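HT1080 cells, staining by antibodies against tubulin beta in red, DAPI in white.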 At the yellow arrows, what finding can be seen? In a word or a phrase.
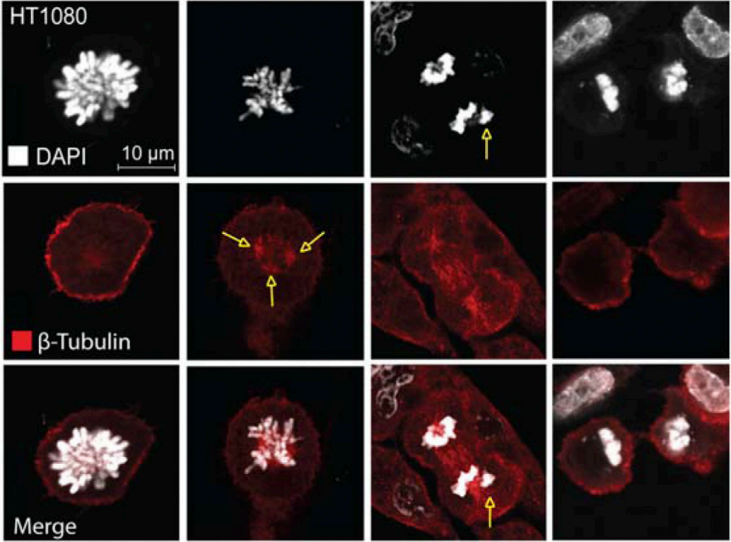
Mitotic abnormalities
